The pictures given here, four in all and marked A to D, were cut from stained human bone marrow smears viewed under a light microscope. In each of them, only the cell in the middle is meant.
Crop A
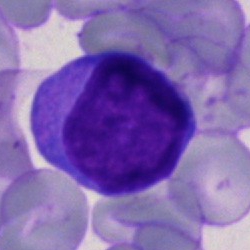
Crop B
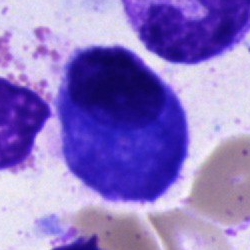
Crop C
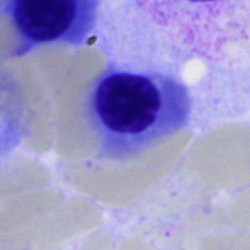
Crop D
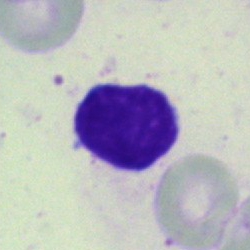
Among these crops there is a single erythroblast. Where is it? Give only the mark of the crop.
C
